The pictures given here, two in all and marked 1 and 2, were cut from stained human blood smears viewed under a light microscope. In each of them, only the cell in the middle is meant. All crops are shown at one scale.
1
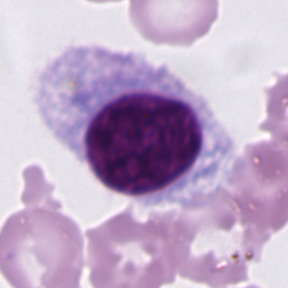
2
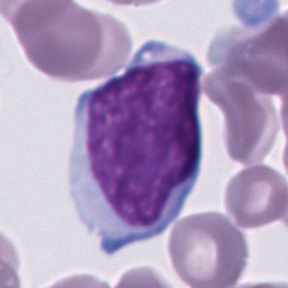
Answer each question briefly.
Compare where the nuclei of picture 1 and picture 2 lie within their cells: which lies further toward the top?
2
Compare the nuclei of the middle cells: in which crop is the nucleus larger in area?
2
